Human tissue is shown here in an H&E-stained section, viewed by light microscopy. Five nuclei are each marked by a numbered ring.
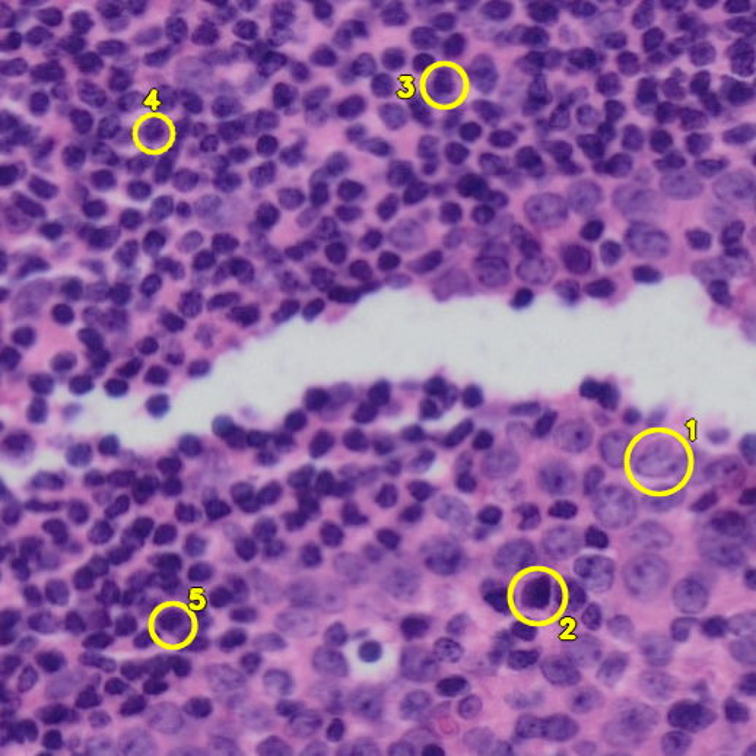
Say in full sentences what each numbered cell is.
Cells 1 and 2 are proliferating B cells. Cells 3, 4 and 5 are small lymphocytes.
